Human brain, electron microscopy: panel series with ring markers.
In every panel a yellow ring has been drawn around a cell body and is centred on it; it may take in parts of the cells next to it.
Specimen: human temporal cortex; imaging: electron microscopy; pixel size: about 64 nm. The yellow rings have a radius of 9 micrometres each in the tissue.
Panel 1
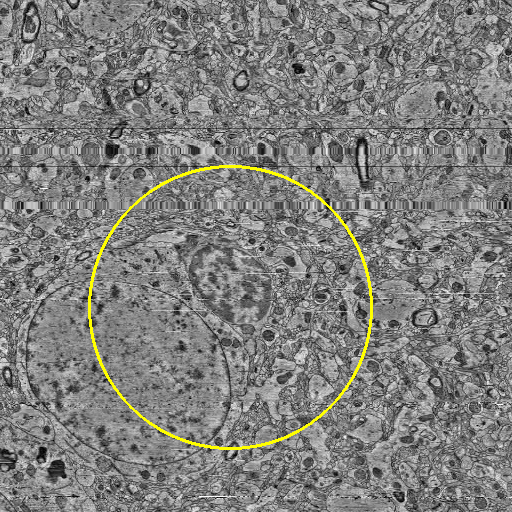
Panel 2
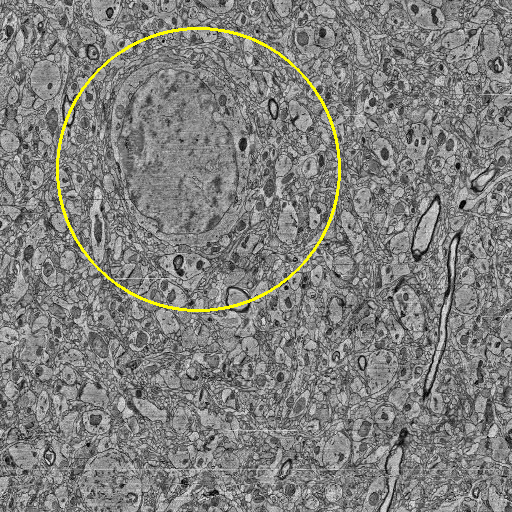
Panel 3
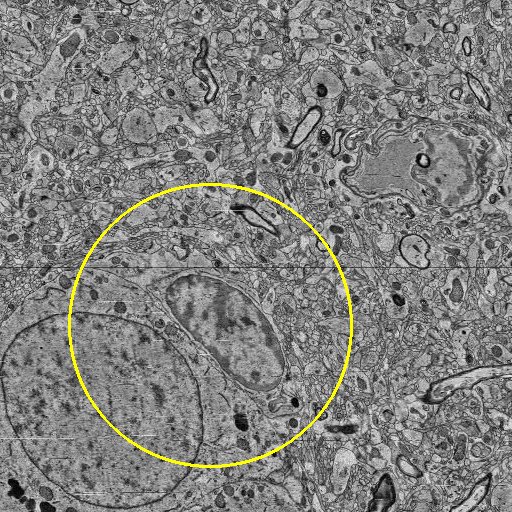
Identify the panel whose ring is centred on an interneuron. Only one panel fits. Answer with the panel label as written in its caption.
Panel 2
